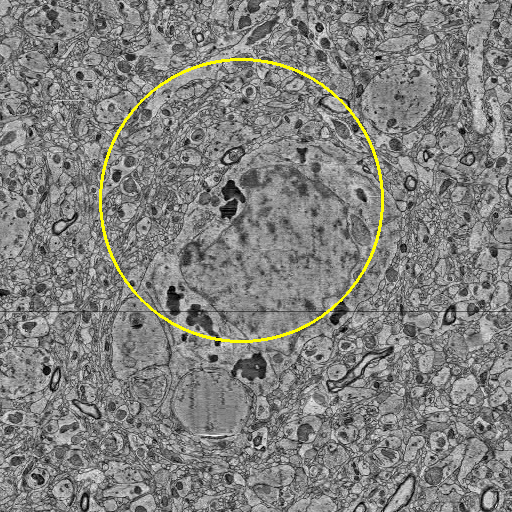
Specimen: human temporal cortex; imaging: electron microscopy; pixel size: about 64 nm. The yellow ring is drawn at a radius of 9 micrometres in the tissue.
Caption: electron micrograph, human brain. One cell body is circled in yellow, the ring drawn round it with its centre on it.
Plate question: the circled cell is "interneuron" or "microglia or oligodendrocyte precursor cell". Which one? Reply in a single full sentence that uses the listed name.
The yellow ring on the plate is centred on an interneuron, going by the listed names.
